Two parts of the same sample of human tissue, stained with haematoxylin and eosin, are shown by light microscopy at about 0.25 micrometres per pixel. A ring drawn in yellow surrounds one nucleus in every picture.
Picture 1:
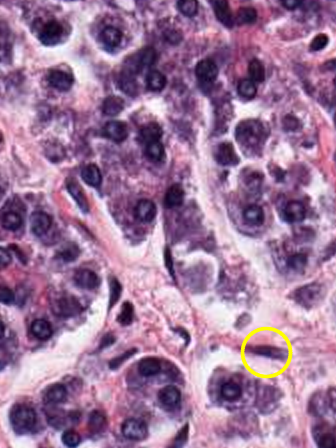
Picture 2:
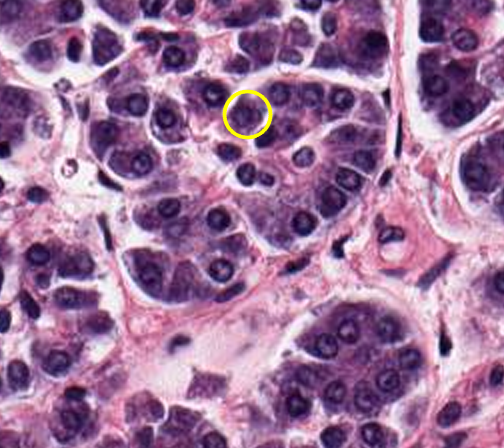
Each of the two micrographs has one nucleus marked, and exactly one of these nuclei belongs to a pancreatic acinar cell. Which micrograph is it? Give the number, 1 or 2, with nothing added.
2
